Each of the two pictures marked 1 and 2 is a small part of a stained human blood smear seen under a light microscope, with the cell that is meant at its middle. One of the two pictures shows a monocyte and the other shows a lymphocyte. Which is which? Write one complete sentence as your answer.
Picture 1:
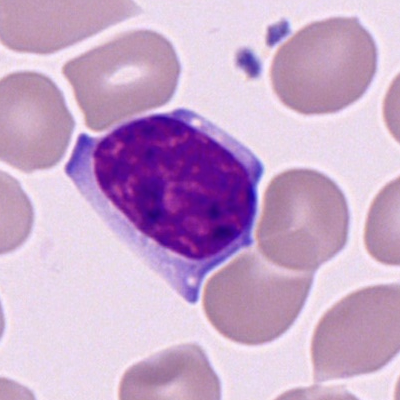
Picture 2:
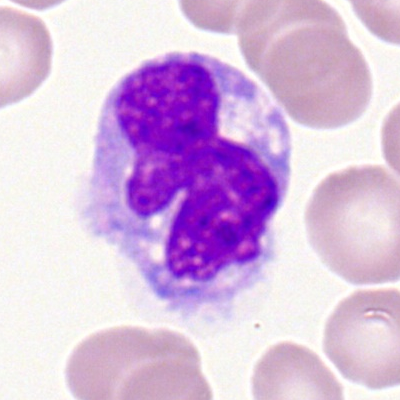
The cell in picture 1 is a lymphocyte, and the one in picture 2 is a monocyte.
